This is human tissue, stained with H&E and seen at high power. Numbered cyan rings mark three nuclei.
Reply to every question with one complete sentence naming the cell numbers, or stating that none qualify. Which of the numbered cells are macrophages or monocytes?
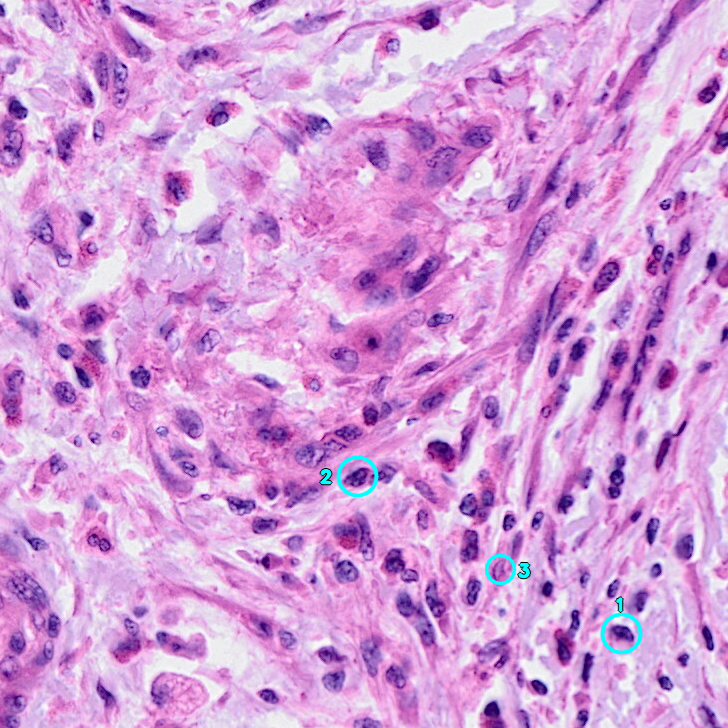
Of the cells carrying numbers, just cell 3 is a macrophage or monocyte.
